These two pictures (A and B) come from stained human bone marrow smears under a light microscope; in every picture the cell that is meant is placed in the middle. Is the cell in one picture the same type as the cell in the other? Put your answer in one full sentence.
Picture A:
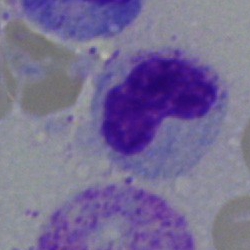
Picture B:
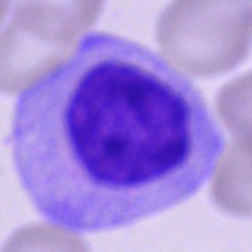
No, the types are not the same, since picture A shows a band neutrophil and picture B a metamyelocyte.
